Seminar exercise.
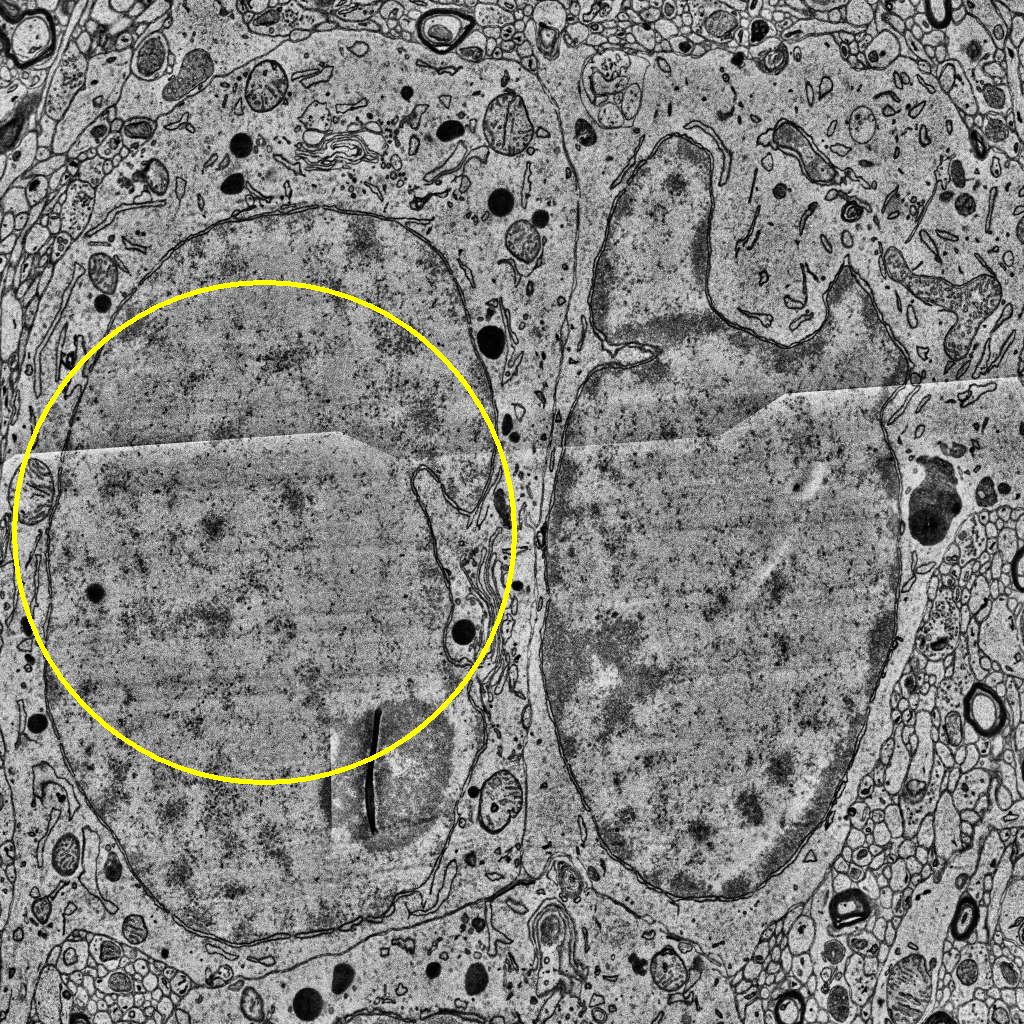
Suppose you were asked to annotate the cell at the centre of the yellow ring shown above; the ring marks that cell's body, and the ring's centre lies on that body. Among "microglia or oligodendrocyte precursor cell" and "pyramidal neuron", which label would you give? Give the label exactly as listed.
pyramidal neuron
